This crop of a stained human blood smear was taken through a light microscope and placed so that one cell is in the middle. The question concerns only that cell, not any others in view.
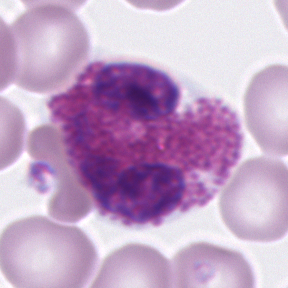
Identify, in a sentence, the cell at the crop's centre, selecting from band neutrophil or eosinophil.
The central cell in this smear crop is an eosinophil.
